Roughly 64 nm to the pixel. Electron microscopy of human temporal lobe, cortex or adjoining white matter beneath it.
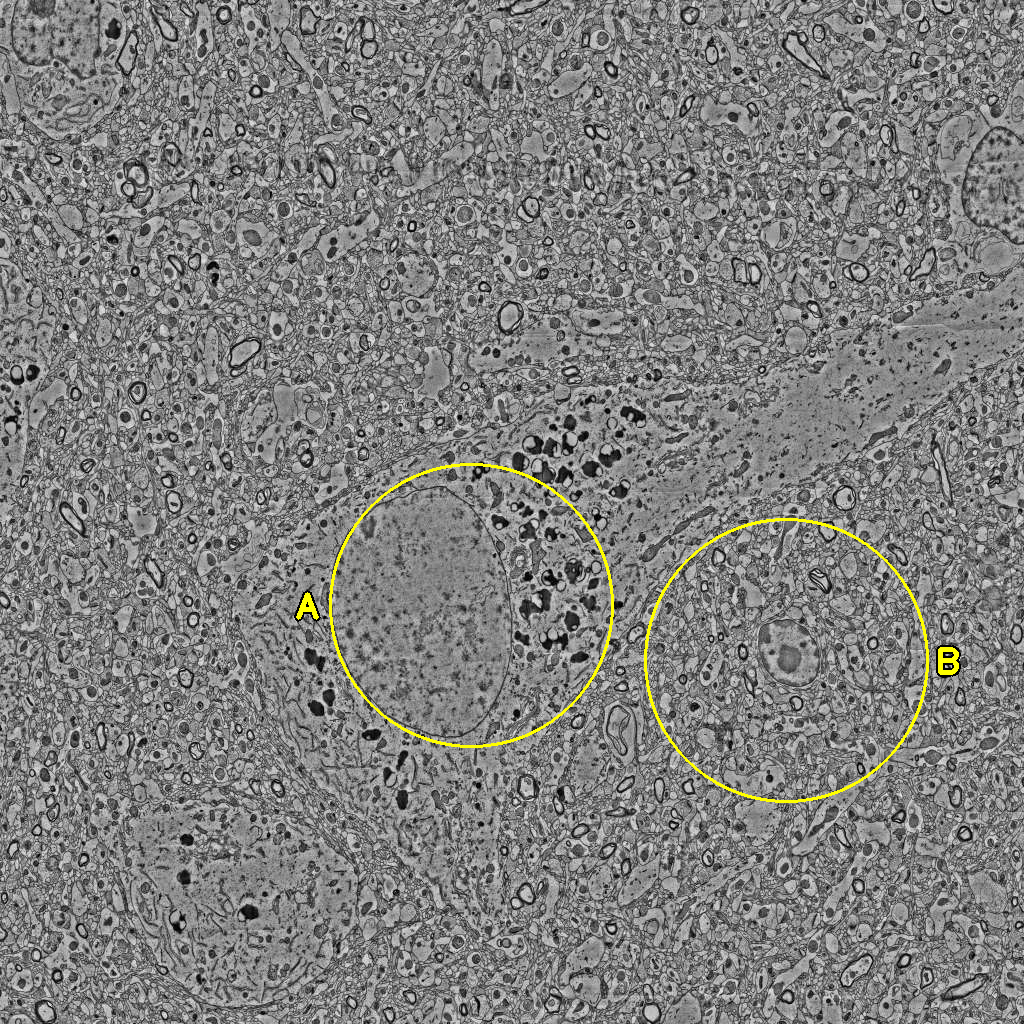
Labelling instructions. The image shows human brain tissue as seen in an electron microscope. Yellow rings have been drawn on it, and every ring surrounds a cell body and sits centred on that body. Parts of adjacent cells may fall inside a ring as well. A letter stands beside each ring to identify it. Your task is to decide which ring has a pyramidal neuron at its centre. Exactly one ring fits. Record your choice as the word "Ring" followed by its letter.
Ring A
